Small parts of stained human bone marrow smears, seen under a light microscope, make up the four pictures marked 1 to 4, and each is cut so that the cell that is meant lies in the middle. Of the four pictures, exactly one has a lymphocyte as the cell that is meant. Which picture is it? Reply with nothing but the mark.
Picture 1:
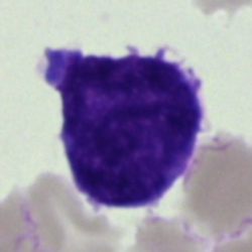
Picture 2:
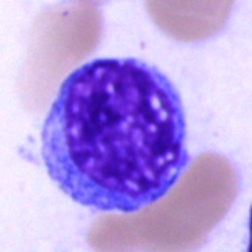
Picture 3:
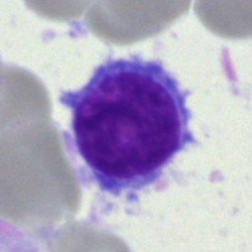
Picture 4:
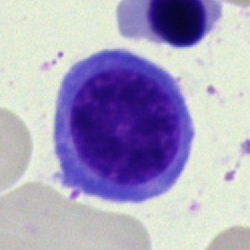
3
